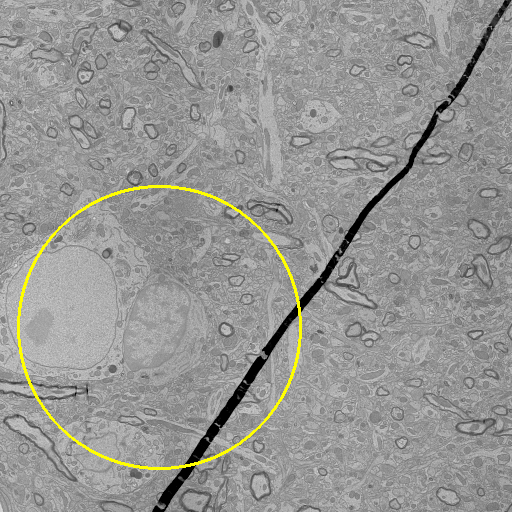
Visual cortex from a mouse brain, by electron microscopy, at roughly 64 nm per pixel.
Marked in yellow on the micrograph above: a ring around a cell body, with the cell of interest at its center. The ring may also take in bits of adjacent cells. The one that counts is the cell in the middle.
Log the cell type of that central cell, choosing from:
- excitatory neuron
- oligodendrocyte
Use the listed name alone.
oligodendrocyte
